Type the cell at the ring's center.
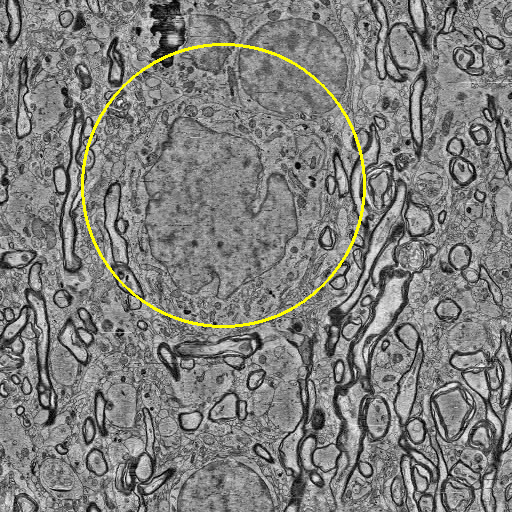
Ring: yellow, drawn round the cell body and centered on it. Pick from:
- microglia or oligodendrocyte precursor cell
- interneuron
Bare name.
interneuron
